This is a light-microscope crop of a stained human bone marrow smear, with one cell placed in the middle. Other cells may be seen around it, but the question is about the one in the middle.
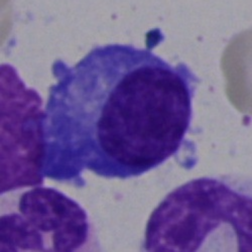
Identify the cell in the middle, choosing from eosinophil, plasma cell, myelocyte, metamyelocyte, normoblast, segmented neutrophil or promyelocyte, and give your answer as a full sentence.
The cell under consideration, at the middle of the crop, is a plasma cell.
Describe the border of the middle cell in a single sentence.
The contour of the cell is interrupted by ragged areas or by projections.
